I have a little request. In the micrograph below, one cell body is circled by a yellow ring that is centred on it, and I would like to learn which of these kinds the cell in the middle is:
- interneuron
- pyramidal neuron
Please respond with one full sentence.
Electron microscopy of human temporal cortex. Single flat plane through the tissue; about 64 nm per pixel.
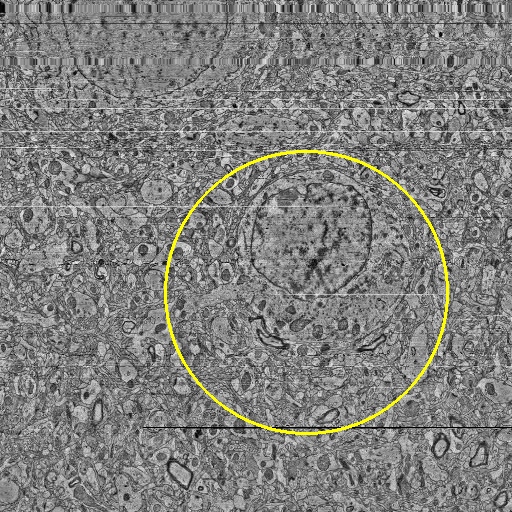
The cell sitting in the middle of the yellow ring in the micrograph is a pyramidal neuron.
